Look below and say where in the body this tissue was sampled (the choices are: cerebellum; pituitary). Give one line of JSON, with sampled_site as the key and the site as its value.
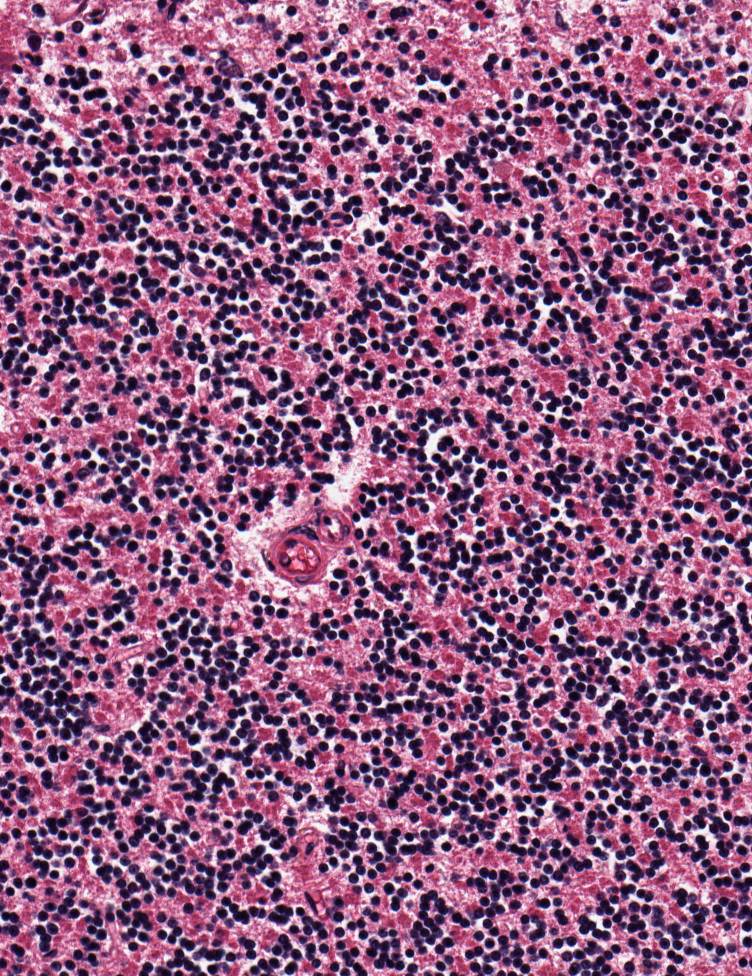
{"sampled_site": "cerebellum"}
